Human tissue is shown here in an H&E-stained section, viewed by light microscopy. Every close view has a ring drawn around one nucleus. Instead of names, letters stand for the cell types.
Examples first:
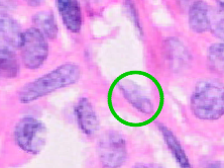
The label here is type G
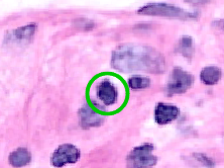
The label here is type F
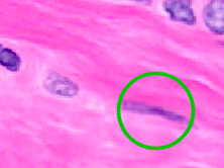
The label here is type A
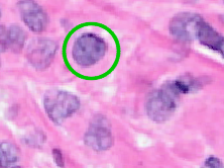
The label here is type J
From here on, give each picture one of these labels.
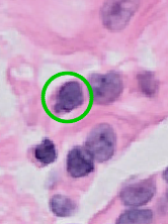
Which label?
type J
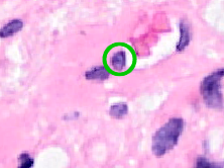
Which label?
type G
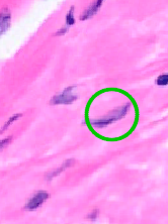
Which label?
type A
